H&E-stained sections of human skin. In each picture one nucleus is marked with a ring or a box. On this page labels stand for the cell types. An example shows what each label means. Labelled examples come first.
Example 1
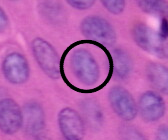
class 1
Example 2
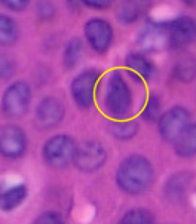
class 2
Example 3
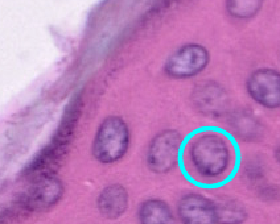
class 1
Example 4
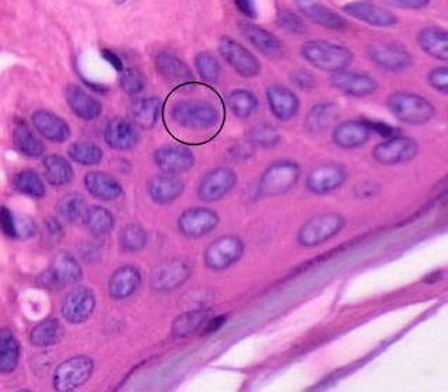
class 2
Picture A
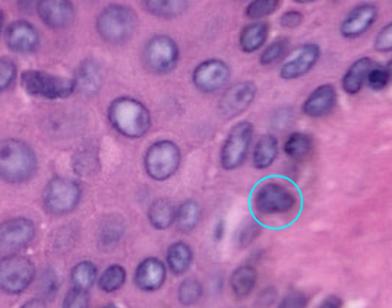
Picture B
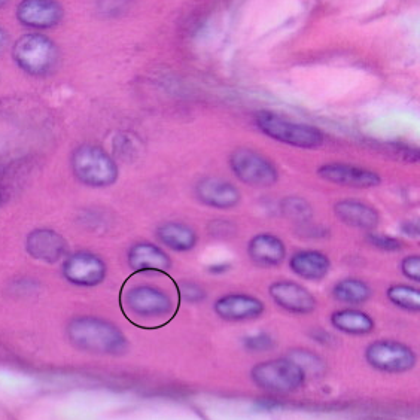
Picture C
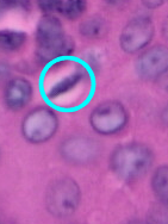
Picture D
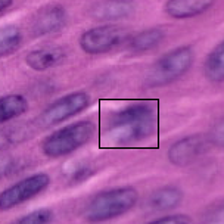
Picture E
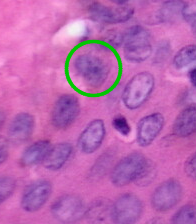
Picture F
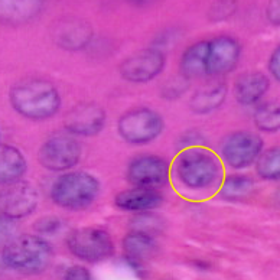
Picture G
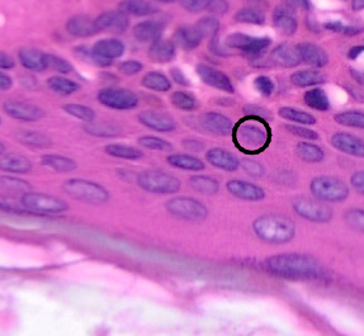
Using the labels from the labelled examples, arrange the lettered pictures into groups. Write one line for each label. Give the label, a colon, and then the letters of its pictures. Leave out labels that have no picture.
class 1: B, D
class 2: A, C, E, F, G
